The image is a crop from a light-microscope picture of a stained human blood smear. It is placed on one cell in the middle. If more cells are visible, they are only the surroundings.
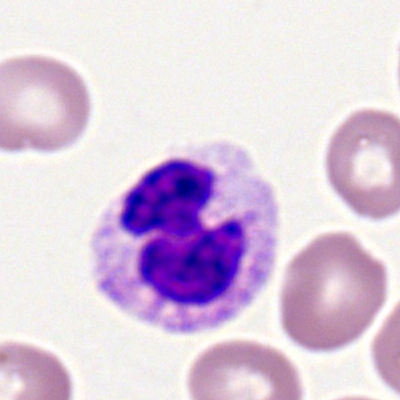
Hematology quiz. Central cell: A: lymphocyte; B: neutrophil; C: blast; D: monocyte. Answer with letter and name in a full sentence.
The correct identification, given in option B, is that the central cell is a neutrophil.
